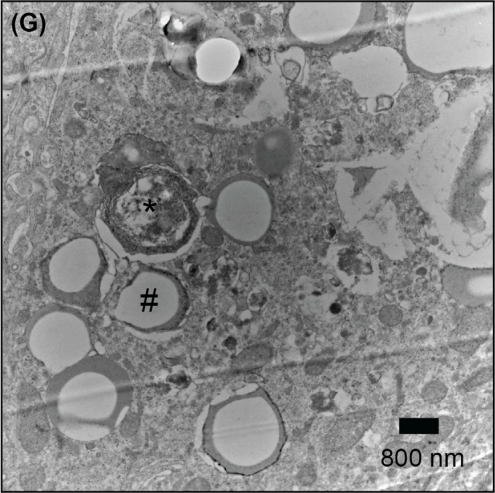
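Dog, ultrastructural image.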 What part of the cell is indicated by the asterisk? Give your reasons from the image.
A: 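Autophagosomes. The asterisk lies in a vesicle bounded by layered membranes. The vesicle holds heterogeneous debris.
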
